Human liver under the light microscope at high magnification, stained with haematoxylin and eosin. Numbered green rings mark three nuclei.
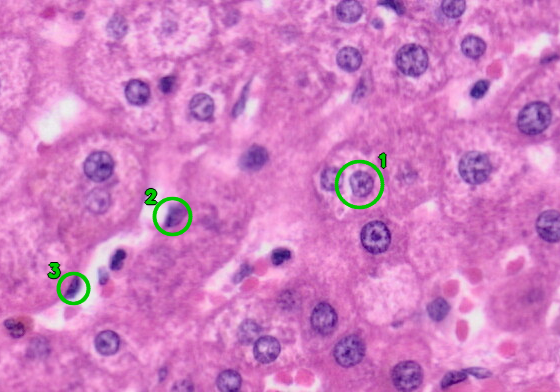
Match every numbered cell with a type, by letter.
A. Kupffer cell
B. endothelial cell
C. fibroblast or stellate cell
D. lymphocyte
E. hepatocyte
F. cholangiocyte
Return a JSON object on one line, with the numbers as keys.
{"1": "E", "2": "B", "3": "B"}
